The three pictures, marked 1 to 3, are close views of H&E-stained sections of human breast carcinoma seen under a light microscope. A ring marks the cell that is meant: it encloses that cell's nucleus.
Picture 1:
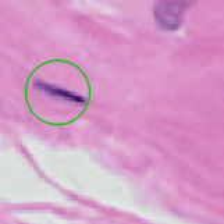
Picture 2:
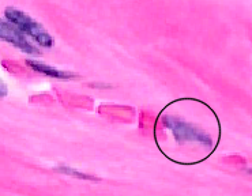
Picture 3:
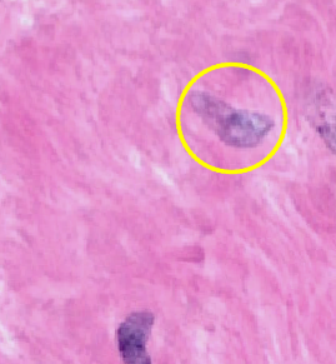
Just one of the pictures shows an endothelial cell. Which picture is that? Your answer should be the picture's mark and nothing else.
2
